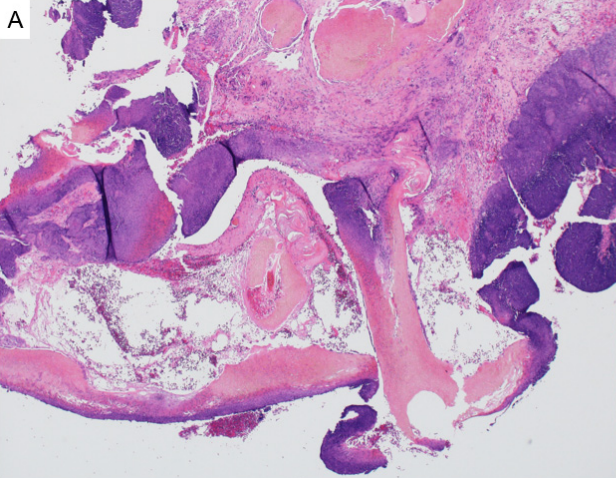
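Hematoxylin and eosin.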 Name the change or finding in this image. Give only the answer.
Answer: Pilomatricoma.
